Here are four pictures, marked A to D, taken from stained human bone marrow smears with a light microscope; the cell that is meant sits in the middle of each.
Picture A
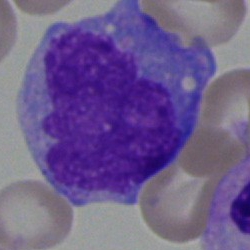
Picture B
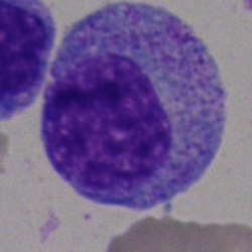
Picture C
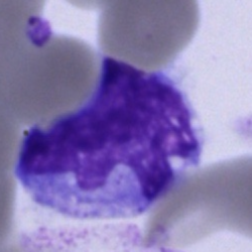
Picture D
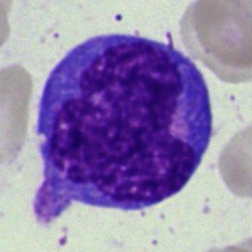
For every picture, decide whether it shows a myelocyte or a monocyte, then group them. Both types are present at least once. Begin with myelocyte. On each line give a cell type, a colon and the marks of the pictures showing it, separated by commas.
myelocyte: B
monocyte: A, C, D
